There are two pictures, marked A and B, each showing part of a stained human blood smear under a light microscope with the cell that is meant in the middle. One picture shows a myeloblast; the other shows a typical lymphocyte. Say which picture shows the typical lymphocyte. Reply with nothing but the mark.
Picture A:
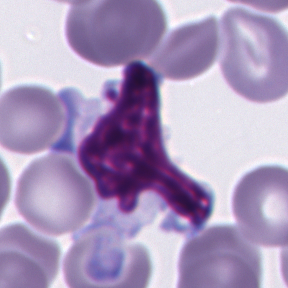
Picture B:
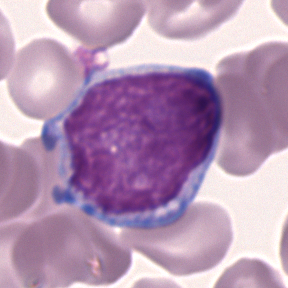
A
